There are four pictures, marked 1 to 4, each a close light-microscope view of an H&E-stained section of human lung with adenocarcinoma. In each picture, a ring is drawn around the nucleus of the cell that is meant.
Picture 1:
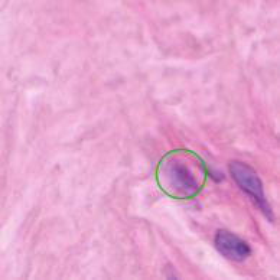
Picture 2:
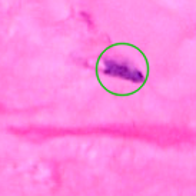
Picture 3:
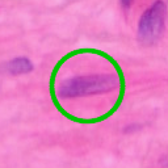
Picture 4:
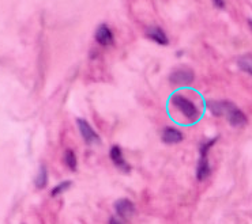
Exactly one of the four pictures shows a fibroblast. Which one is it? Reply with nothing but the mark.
2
